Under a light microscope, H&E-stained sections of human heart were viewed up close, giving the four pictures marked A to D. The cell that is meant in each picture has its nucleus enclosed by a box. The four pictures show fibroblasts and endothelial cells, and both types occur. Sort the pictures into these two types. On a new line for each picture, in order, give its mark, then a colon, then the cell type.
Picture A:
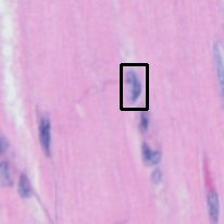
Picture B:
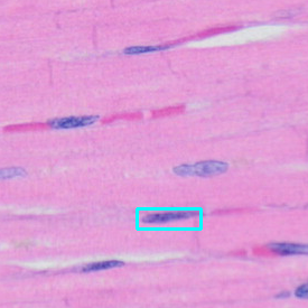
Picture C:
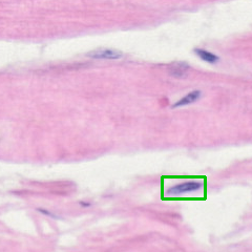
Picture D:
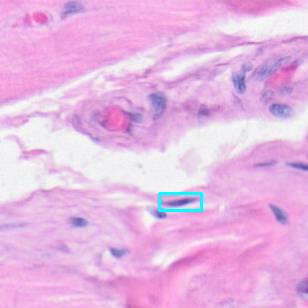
A: fibroblast
B: endothelial cell
C: fibroblast
D: fibroblast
